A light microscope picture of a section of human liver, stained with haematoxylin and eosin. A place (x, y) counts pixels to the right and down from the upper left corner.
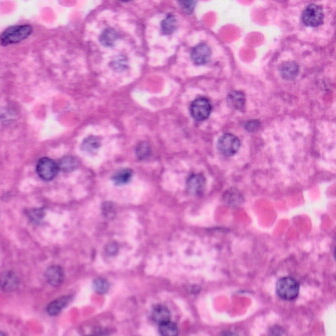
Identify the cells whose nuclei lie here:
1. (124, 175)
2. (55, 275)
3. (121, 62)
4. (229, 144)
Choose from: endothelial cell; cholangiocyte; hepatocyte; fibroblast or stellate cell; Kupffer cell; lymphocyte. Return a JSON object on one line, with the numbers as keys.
{"1": "endothelial cell", "2": "hepatocyte", "3": "hepatocyte", "4": "hepatocyte"}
